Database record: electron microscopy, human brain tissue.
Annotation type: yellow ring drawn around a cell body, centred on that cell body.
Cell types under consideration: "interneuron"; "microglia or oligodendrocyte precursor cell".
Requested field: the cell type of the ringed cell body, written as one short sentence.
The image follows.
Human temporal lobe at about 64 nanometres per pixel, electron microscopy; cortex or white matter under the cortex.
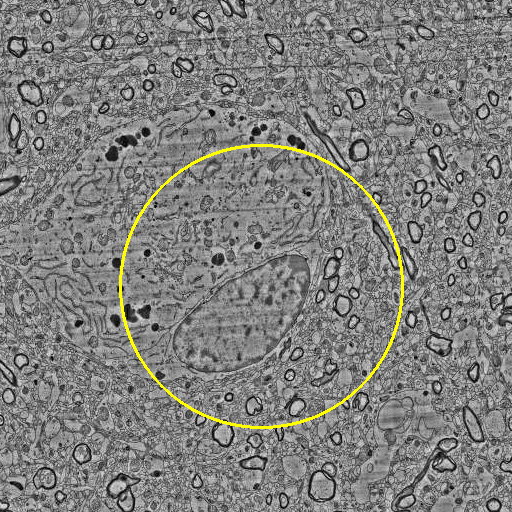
The ringed cell body represents a microglial cell or oligodendrocyte precursor cell.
